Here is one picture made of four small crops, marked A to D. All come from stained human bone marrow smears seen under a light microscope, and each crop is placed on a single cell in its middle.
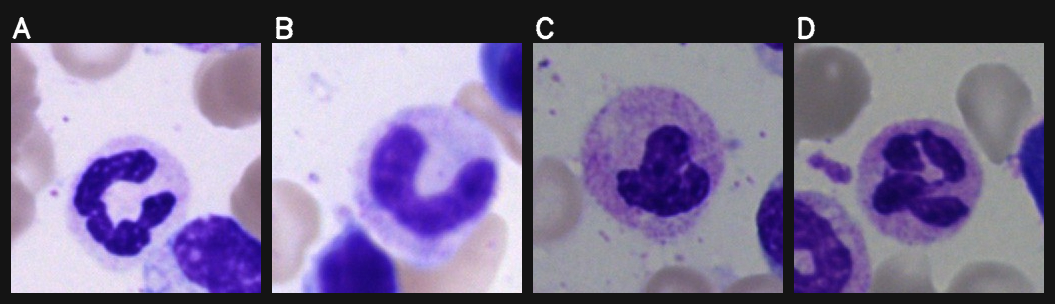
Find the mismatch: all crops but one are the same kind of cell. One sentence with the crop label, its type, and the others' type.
Crop B alone shows a band neutrophil; the other crops are all segmented neutrophils.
